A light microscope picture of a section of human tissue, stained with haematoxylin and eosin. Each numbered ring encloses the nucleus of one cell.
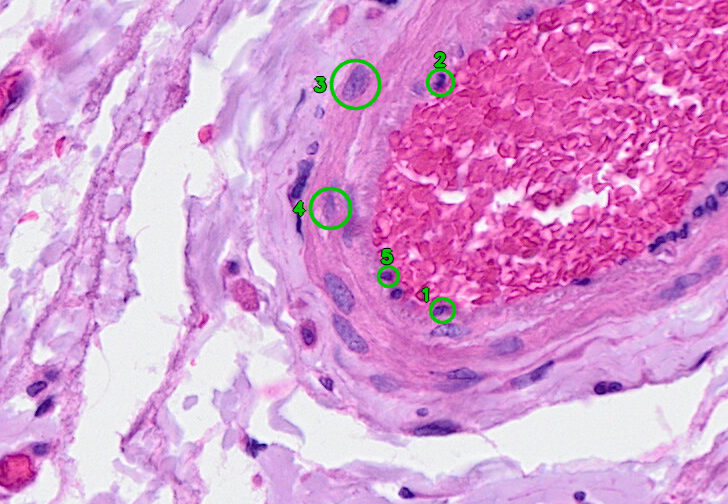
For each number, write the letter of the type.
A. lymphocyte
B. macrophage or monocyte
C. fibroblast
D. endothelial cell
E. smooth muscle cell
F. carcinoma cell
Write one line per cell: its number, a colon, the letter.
1: D
2: D
3: E
4: E
5: D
